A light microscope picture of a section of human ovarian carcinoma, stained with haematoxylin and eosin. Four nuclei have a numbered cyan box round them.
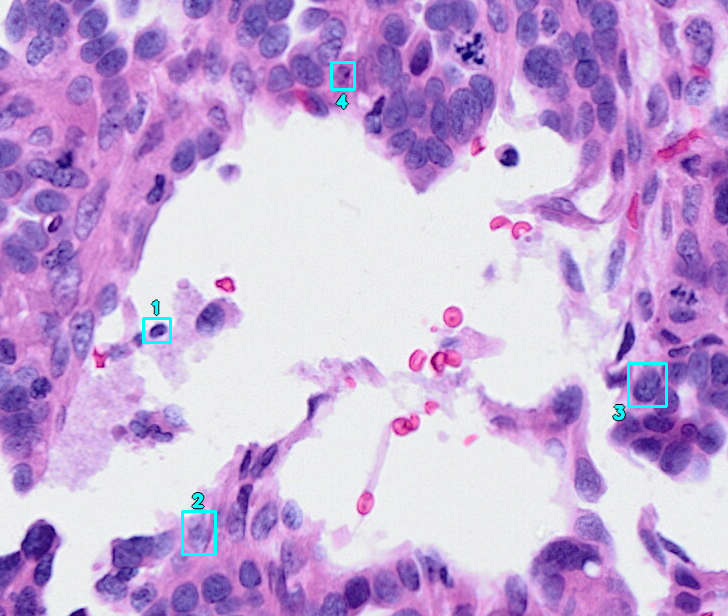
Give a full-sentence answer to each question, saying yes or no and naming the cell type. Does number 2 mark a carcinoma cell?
No, it is not a carcinoma cell that bears number 2 but a fibroblast.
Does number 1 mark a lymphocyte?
Yes, regarding number 1, the cell is a lymphocyte.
